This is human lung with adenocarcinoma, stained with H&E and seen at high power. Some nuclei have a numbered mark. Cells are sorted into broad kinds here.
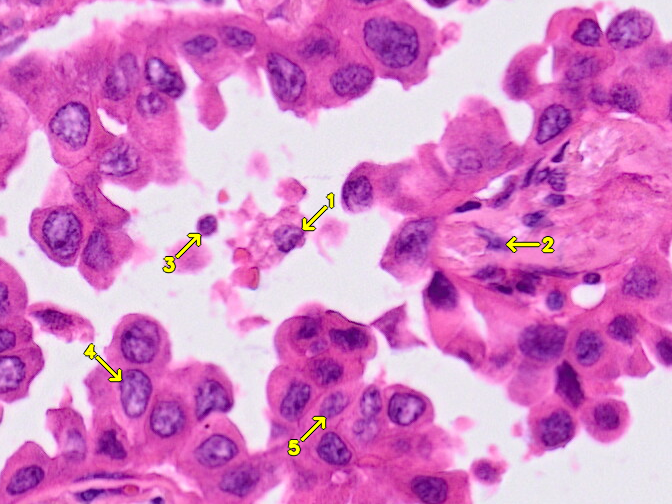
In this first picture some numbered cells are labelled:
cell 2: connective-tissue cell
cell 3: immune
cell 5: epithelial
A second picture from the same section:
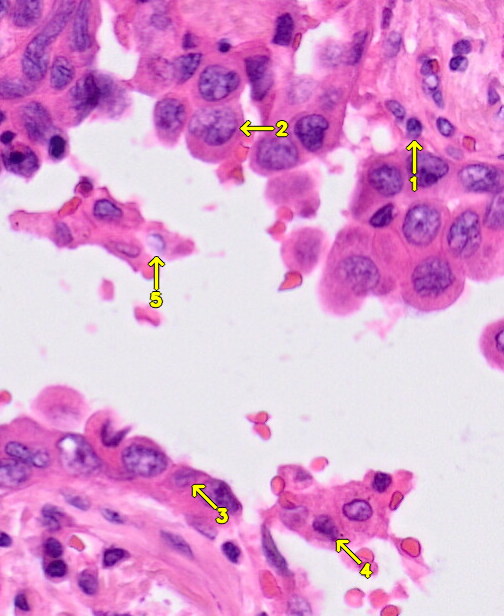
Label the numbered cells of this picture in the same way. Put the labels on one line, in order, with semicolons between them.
immune; epithelial; epithelial; immune; immune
